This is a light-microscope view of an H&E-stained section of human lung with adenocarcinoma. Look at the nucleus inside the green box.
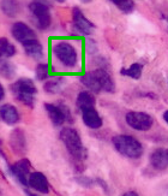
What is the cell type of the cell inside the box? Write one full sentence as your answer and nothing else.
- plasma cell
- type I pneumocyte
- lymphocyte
As classified here, the cell inside the box is a lymphocyte.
